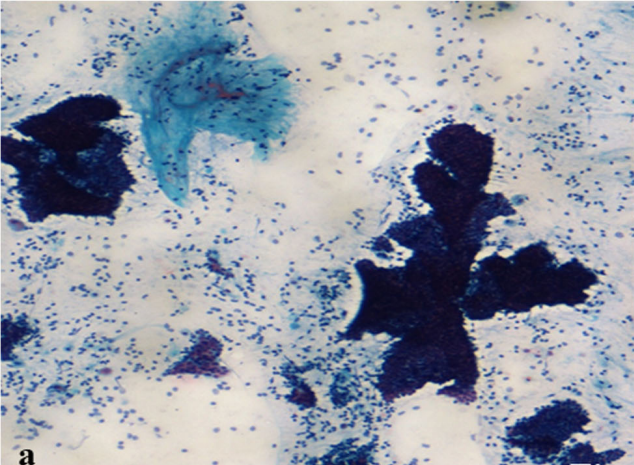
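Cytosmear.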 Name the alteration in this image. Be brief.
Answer: staghorn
